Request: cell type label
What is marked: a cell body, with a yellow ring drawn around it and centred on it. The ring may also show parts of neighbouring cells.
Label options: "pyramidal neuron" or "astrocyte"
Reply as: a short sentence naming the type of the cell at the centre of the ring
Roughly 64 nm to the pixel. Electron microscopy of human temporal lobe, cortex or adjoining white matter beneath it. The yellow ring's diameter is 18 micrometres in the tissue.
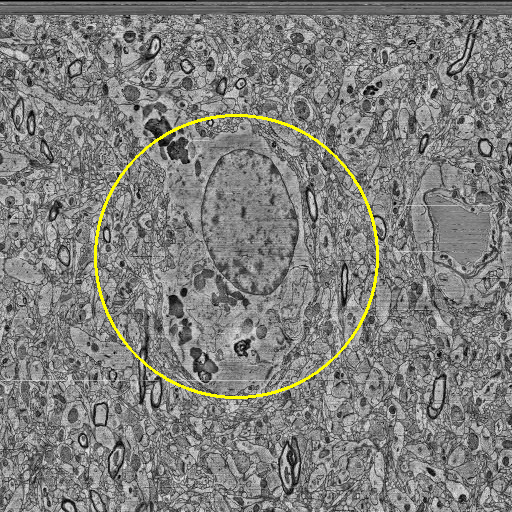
The marked cell body is that of an astrocyte.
